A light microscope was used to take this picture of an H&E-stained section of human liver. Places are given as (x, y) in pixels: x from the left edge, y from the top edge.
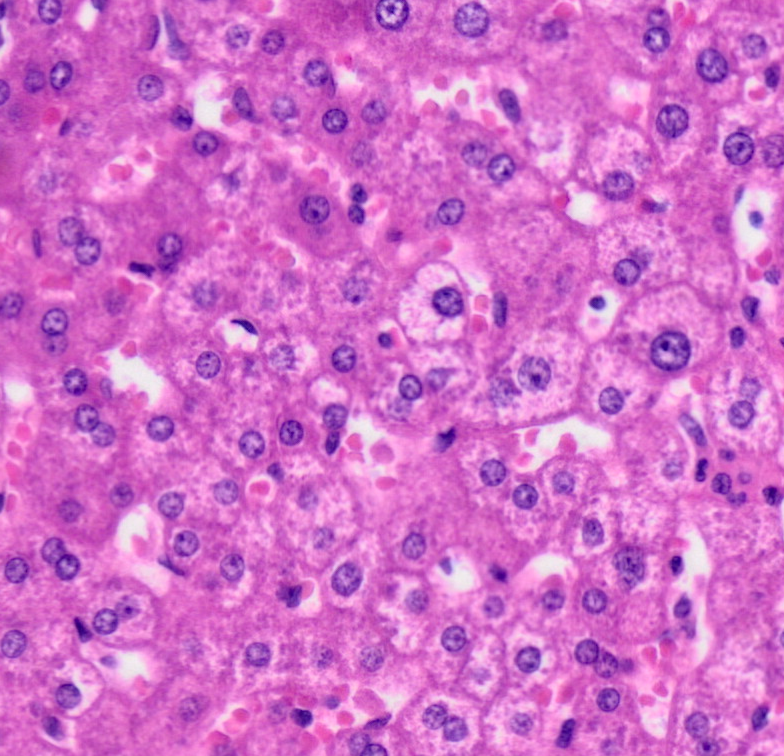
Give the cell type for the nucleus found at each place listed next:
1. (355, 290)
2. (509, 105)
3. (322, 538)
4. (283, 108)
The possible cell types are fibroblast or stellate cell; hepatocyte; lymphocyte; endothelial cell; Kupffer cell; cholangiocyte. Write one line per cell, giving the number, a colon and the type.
1: hepatocyte
2: Kupffer cell
3: hepatocyte
4: hepatocyte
